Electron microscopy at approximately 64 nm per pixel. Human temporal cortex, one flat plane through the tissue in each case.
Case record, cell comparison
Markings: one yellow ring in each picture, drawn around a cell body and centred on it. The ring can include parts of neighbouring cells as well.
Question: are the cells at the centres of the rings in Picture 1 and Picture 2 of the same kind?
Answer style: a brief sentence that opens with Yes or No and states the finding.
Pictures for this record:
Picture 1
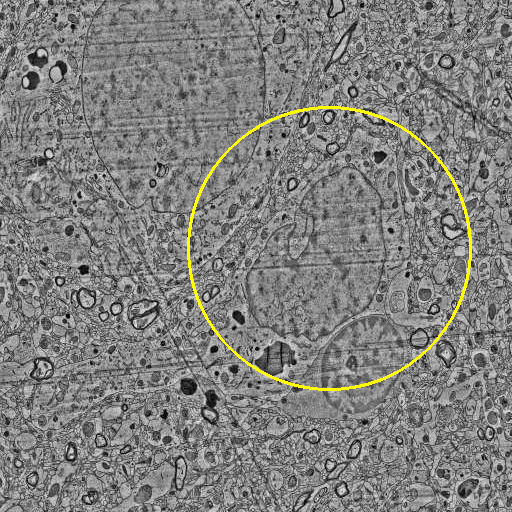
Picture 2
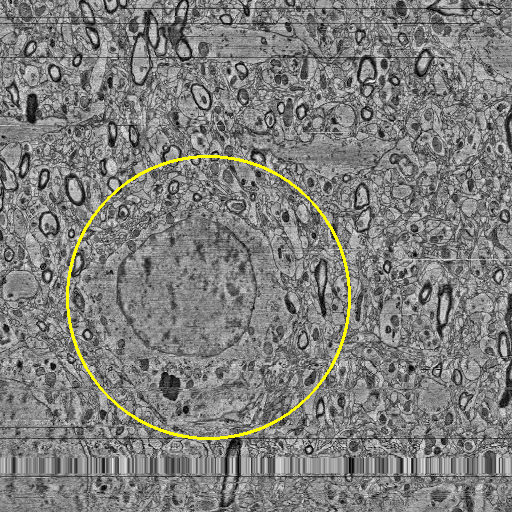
Yes, the cells in Picture 1 and Picture 2 are of the same kind.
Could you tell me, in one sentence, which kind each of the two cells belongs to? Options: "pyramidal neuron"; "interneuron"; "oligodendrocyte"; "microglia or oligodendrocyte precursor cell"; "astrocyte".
The second cell is an interneuron, just as the first is.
